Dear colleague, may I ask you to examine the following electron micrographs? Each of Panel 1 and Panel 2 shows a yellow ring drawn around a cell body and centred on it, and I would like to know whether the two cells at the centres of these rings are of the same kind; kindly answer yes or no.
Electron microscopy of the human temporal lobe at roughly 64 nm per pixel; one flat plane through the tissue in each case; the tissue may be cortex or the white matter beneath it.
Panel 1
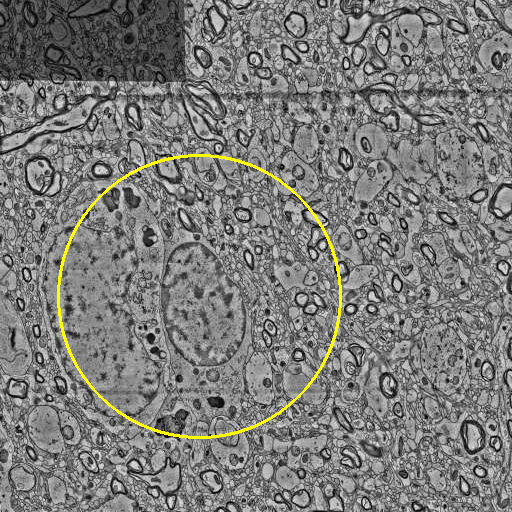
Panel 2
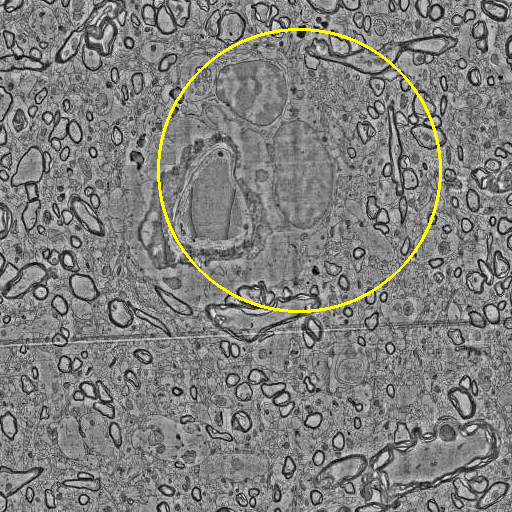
yes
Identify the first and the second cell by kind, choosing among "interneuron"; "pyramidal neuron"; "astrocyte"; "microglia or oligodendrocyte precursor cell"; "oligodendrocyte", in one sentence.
The cell at the ring centre is an oligodendrocyte in both pictures.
